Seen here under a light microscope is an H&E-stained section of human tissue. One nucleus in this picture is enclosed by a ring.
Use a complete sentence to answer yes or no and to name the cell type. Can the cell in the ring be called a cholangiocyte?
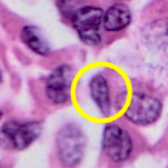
No, it is not a cholangiocyte but a melanoma cell that the cell in the ring represents.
